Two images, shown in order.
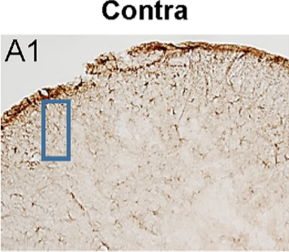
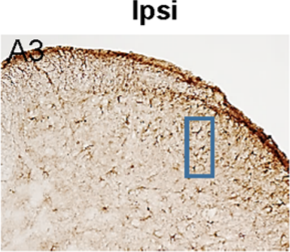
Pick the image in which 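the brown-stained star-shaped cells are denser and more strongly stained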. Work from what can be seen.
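The second image. Second image: many darkly brown stellate cells with thick processes crowd the outer band. First image: fewer, paler brown cells with thin processes are scattered sparsely.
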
